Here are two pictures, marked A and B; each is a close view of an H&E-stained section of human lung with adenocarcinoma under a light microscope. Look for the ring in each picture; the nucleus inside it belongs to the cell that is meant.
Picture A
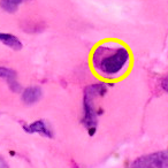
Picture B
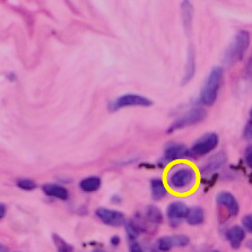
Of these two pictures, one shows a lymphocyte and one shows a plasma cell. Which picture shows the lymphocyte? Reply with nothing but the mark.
B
